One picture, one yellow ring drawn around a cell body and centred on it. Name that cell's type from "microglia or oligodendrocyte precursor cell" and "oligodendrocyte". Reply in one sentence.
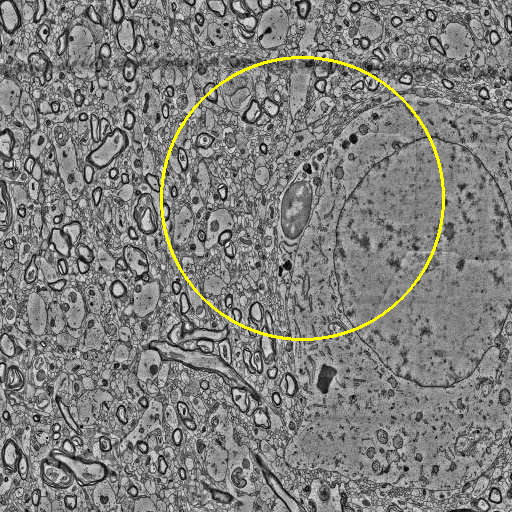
Centred in the ring is a microglial cell or oligodendrocyte precursor cell.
